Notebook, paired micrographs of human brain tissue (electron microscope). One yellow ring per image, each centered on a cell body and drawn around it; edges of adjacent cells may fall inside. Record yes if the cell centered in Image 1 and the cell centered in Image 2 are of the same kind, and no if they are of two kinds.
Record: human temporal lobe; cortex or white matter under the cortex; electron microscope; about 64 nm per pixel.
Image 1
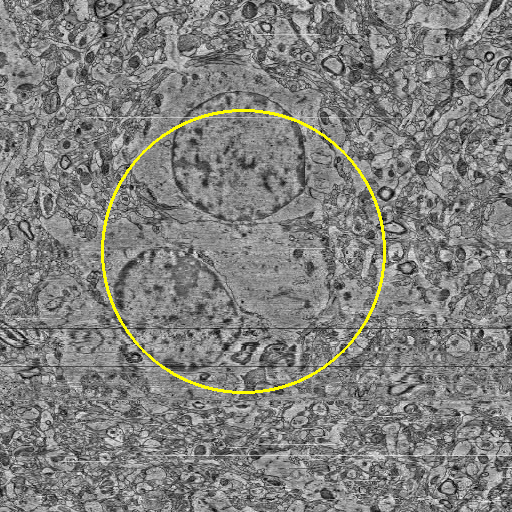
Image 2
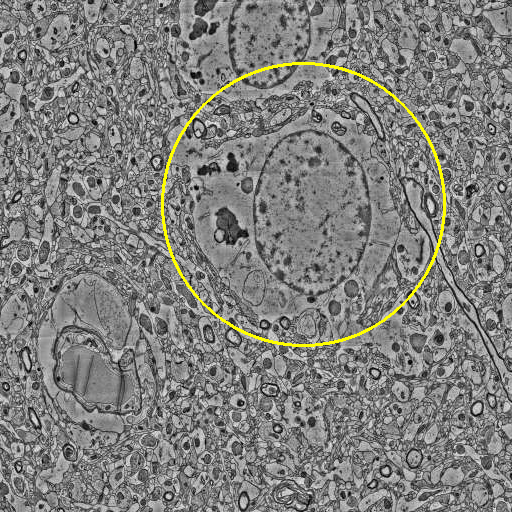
yes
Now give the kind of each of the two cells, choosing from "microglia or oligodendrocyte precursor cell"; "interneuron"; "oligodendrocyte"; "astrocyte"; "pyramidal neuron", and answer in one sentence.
In both pictures the ring is centred on an astrocyte.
